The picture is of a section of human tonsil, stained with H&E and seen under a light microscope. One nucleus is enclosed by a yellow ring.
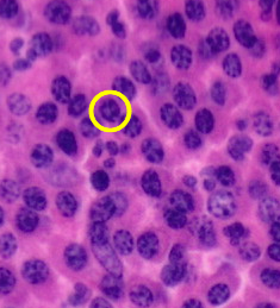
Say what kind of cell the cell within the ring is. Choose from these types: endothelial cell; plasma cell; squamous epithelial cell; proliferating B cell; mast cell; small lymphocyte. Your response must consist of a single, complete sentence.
Just put down that the cell within the ring is a plasma cell.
